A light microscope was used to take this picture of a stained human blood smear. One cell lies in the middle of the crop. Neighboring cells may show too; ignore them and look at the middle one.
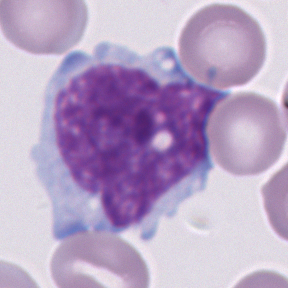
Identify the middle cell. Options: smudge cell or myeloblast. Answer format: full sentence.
The cell around which this crop is centred is a myeloblast.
